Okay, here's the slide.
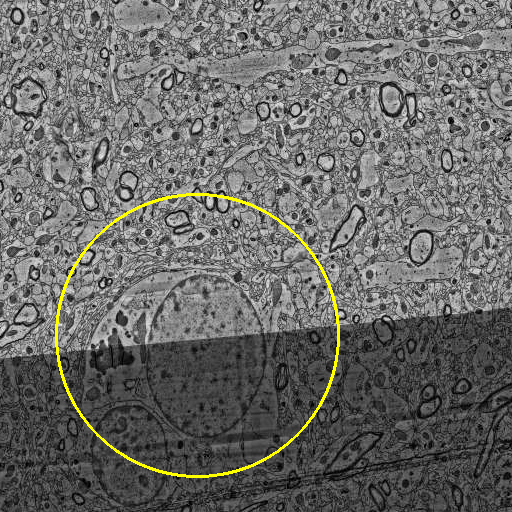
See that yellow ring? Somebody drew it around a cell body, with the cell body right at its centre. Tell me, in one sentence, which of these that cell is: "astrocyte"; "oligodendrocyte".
The cell in the middle of the ring is an astrocyte.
